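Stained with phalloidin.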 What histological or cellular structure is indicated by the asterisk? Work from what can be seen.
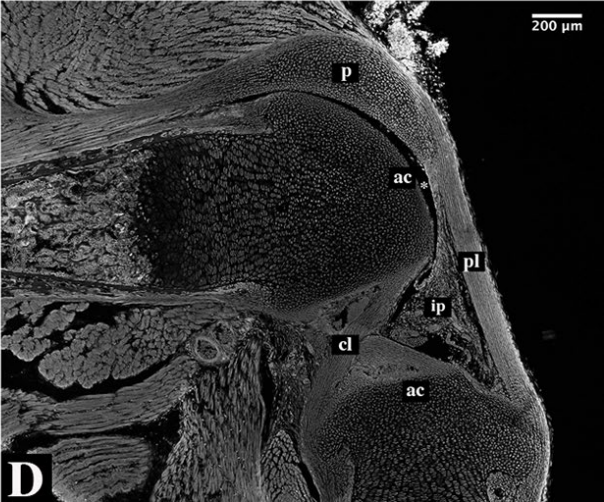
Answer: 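The asterisk sits in a thin dark cleft at the edge of the rounded cartilage end. The cleft separates the rounded cartilage end from the overlying tissue.
Conclusion: Joint cavity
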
